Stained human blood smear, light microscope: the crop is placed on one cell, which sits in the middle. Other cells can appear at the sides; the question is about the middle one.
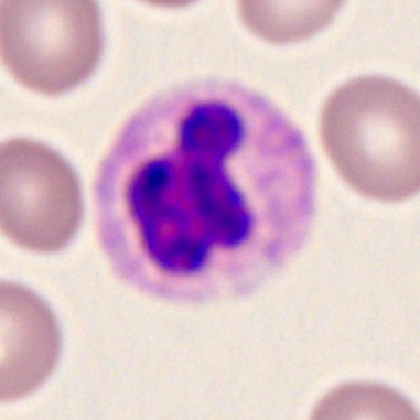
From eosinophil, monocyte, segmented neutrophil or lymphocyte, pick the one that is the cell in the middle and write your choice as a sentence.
Classified as a segmented neutrophil is the cell in the middle of this crop.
